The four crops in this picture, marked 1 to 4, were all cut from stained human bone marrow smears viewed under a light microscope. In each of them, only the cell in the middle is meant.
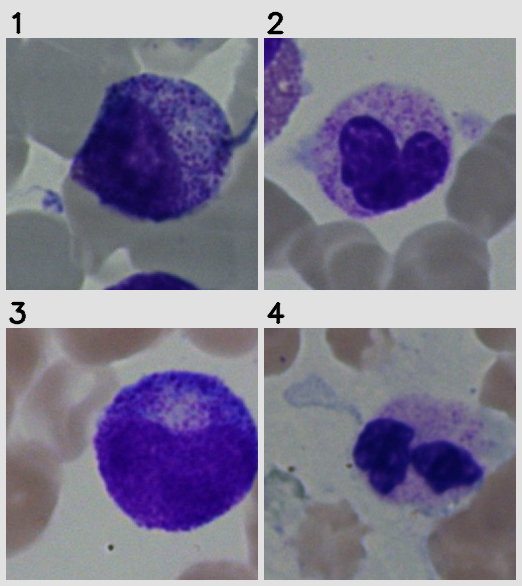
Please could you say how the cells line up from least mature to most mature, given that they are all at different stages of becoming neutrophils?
1, 3, 2, 4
